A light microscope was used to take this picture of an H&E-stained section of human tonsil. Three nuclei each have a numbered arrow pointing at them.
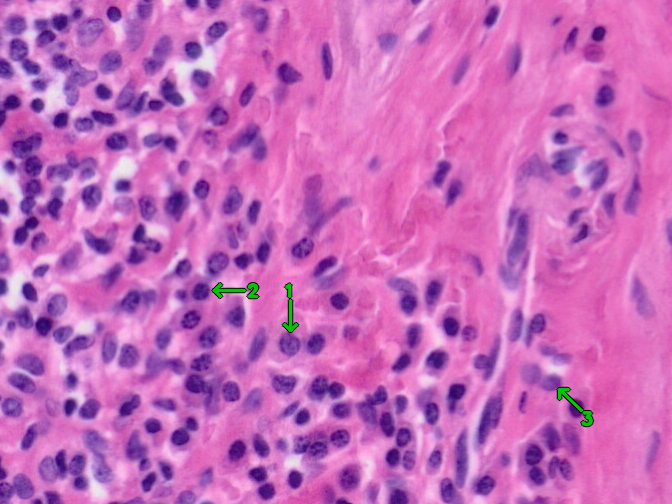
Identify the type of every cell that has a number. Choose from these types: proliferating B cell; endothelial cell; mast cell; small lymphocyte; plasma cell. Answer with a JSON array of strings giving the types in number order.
["plasma cell", "plasma cell", "endothelial cell"]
